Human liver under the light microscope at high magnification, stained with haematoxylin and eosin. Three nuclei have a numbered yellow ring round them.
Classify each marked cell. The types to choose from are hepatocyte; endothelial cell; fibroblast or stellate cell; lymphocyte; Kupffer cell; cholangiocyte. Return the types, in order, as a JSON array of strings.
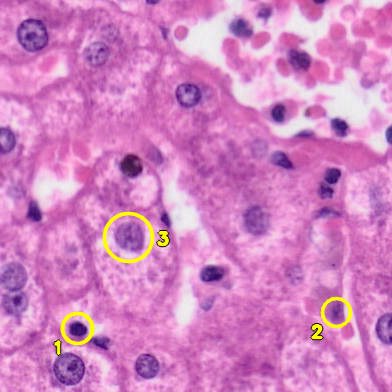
["lymphocyte", "Kupffer cell", "hepatocyte"]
